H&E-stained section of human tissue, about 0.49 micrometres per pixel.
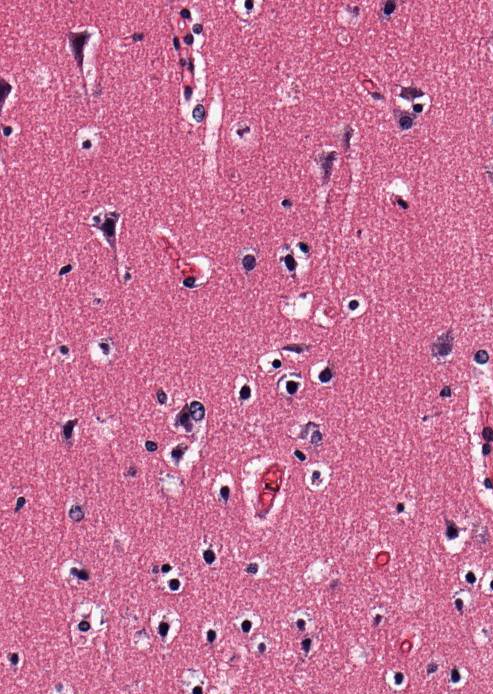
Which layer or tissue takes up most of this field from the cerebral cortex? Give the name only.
cellular layers of the cortex (layers II to VI)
